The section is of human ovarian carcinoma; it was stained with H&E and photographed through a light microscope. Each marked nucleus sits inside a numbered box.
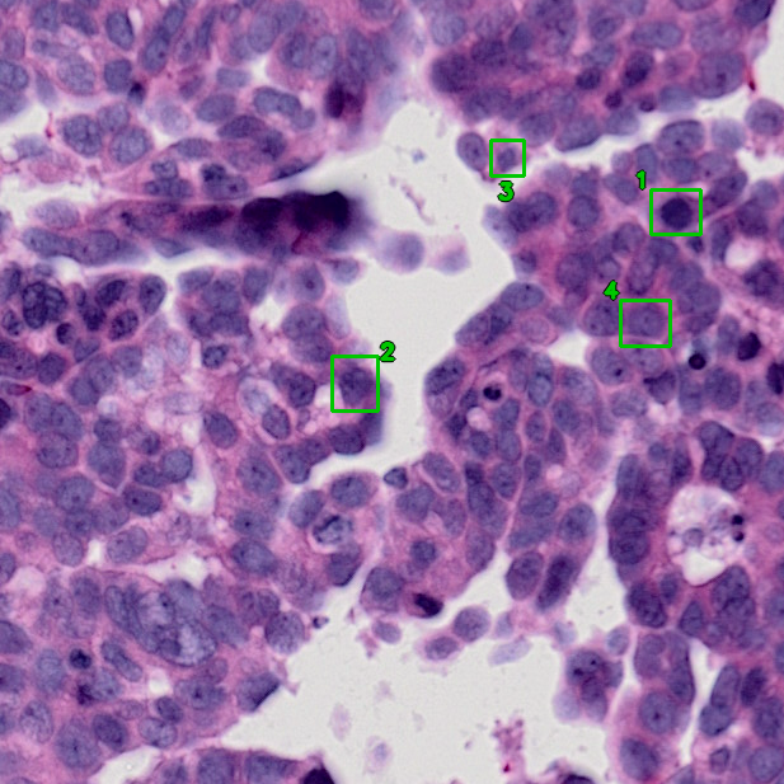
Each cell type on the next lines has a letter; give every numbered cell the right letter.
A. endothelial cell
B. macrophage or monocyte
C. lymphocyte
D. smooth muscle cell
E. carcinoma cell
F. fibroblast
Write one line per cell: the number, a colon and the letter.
1: E
2: E
3: B
4: E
